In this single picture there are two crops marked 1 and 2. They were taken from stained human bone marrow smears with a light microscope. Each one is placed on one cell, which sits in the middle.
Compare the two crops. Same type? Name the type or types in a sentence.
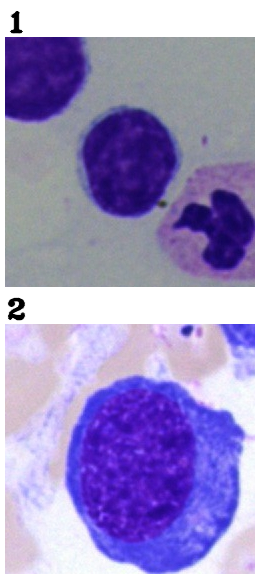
No, a lymphocyte is the cell in crop 1; an erythroblast is the cell in crop 2.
